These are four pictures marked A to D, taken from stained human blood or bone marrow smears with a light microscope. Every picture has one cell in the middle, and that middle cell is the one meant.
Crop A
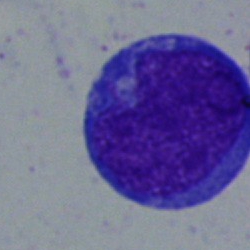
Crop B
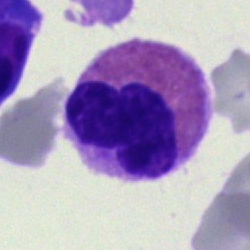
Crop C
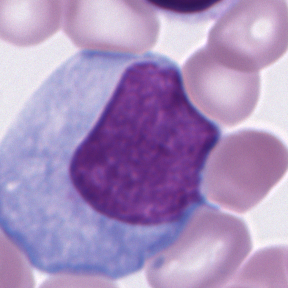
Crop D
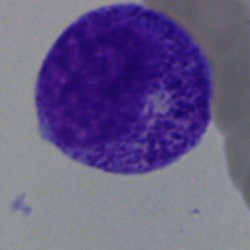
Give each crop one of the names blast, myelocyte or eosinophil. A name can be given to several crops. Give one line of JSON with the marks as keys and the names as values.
{"A": "blast", "B": "eosinophil", "C": "blast", "D": "myelocyte"}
